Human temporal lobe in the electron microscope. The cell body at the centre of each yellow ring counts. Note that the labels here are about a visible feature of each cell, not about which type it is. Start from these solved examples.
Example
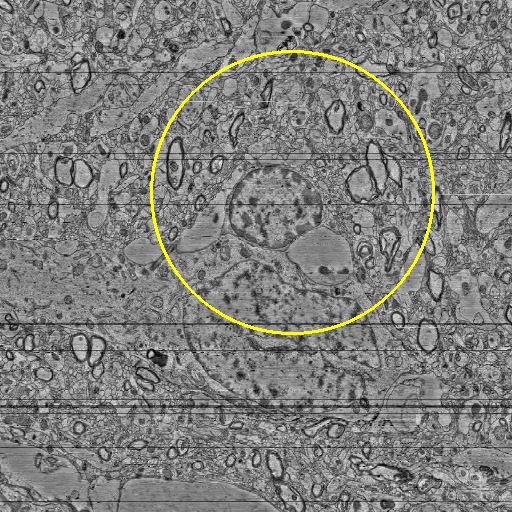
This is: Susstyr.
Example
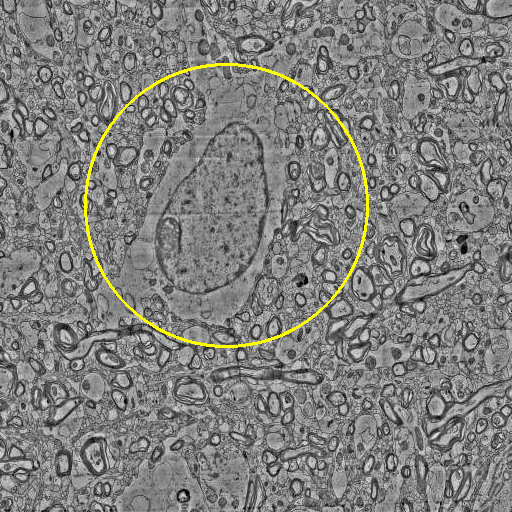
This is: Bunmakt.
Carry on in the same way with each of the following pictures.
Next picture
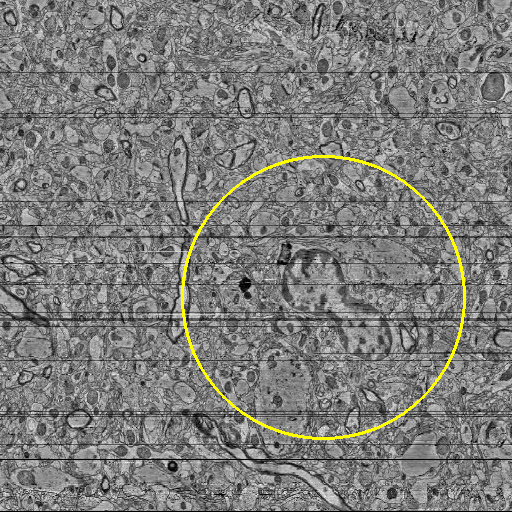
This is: Bunmakt.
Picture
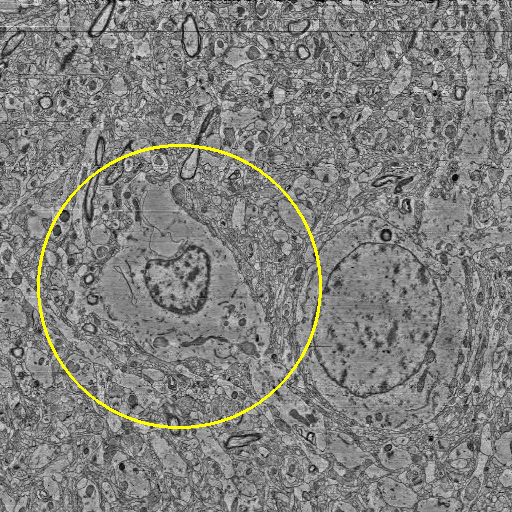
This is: Bunmakt.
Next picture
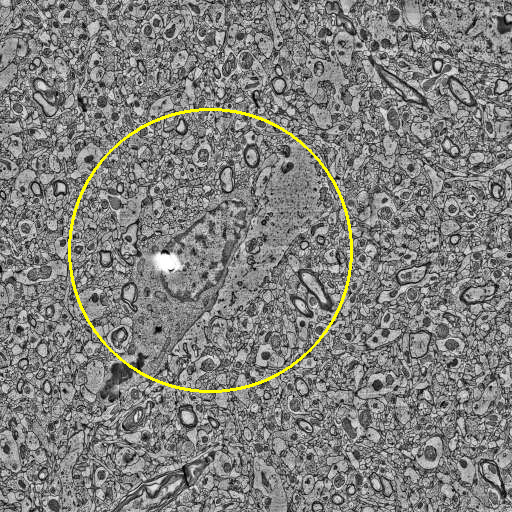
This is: Bunmakt.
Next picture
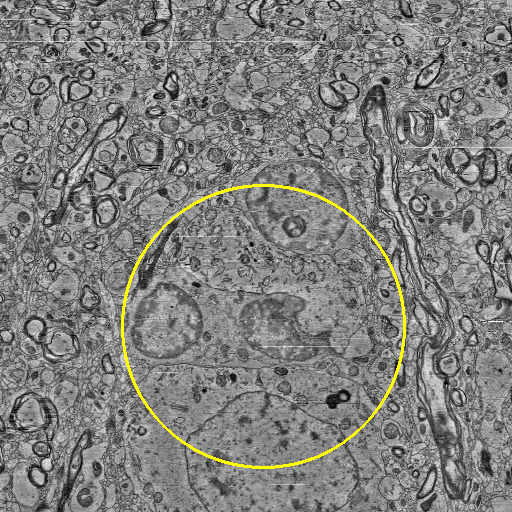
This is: Bunmakt.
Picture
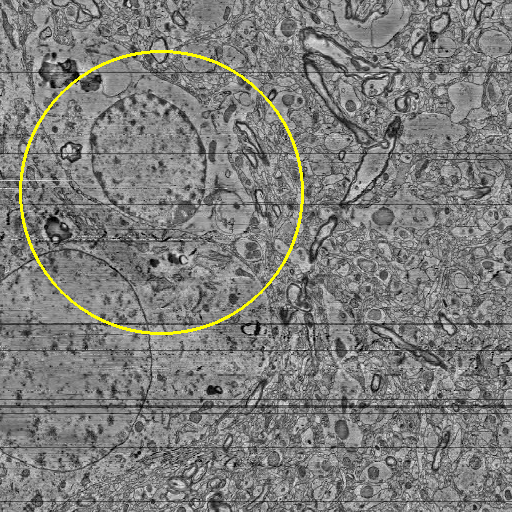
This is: Susstyr.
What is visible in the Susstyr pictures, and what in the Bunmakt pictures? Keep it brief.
In Susstyr: smooth nuclear envelopes without deep folds. In Bunmakt: deeply folded or indented nuclear envelopes.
